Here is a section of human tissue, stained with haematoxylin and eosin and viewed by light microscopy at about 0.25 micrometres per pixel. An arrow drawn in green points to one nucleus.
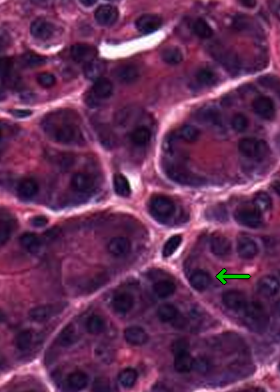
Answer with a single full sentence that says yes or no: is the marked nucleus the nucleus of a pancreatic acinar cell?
Yes, the nucleus that carries the mark belongs to a pancreatic acinar cell.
